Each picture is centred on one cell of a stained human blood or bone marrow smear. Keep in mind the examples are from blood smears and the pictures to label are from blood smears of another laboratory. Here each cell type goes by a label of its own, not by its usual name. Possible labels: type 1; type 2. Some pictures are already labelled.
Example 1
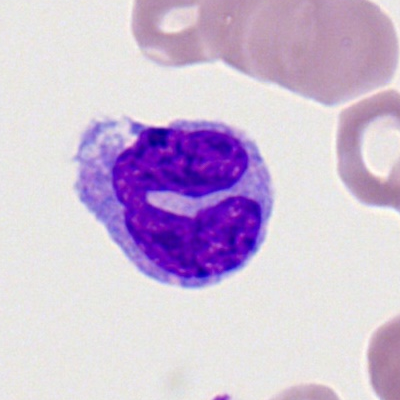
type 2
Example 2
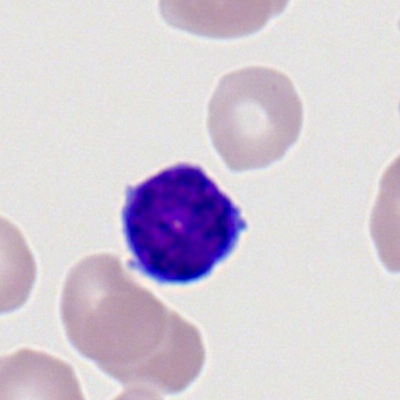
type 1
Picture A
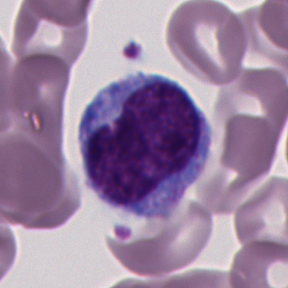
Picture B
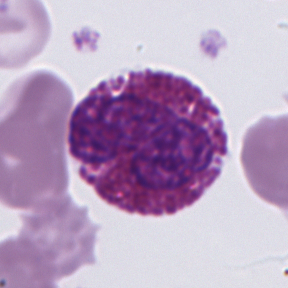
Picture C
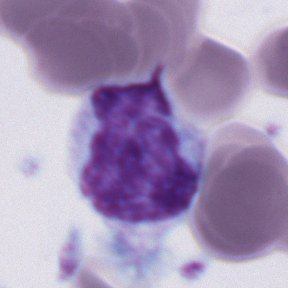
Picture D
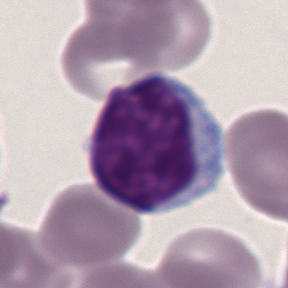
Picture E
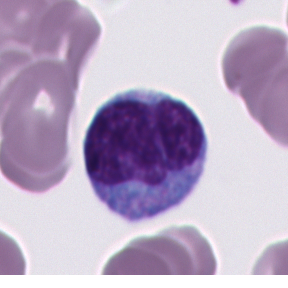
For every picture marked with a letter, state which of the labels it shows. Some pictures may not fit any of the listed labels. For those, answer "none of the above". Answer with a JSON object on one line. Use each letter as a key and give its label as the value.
{"A": "type 2", "B": "none of the above", "C": "type 2", "D": "type 1", "E": "type 2"}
